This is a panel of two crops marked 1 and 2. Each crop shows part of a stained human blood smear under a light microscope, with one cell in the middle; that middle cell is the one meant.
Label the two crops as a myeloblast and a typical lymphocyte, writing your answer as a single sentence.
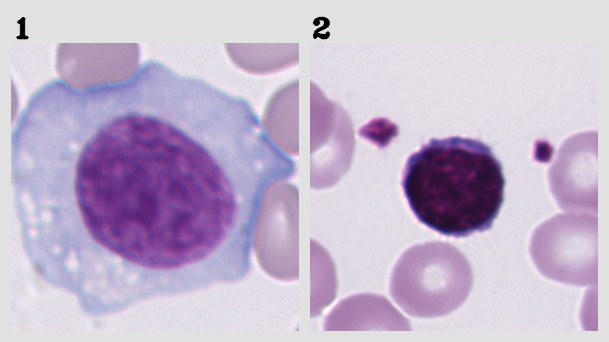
Crop 1 presents a myeloblast, and crop 2 presents a typical lymphocyte.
